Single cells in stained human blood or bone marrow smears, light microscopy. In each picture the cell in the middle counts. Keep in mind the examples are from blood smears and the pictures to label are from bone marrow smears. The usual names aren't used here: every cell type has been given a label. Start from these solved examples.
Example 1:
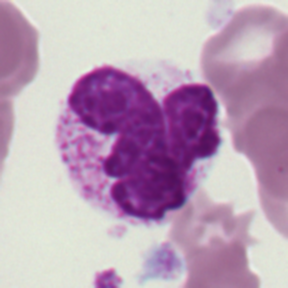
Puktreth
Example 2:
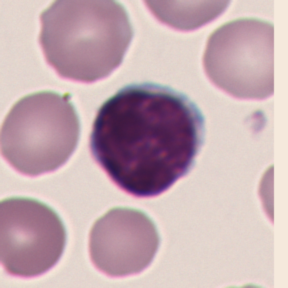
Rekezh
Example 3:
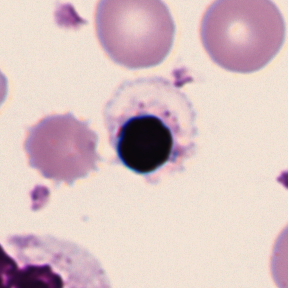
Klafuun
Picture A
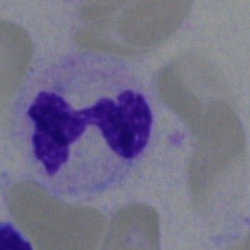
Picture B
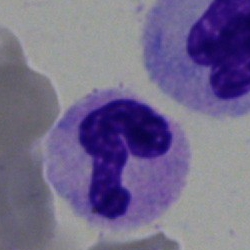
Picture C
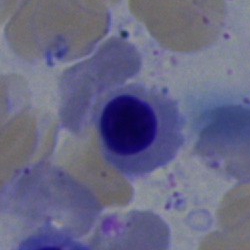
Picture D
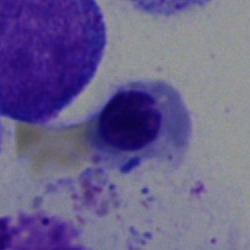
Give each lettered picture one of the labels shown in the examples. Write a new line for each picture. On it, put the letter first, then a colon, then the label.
A: Puktreth
B: Puktreth
C: Klafuun
D: Klafuun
